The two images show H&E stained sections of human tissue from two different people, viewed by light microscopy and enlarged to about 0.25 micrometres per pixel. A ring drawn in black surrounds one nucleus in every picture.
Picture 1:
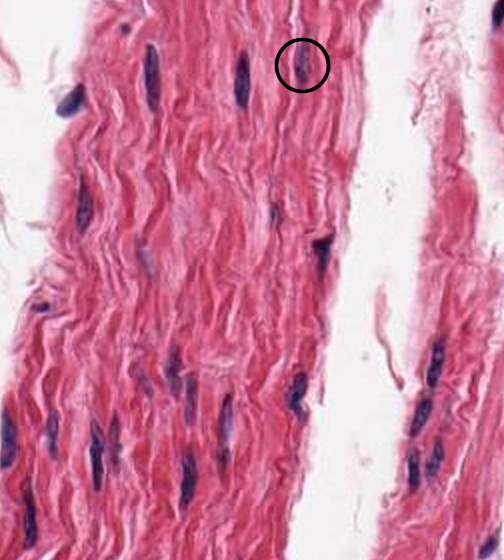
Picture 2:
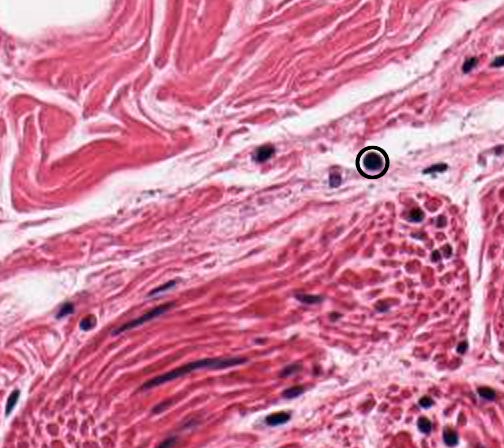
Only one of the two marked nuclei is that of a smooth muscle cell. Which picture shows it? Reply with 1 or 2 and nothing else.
1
